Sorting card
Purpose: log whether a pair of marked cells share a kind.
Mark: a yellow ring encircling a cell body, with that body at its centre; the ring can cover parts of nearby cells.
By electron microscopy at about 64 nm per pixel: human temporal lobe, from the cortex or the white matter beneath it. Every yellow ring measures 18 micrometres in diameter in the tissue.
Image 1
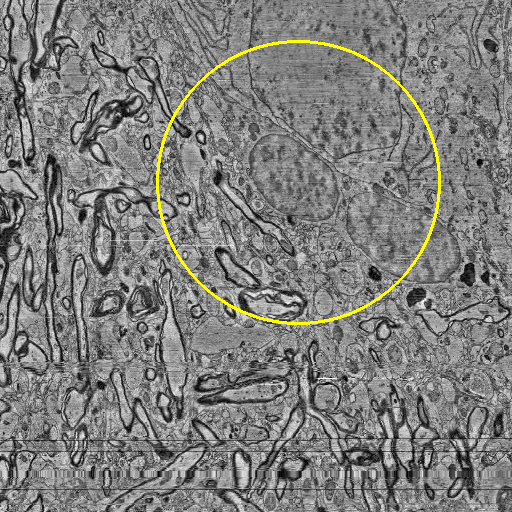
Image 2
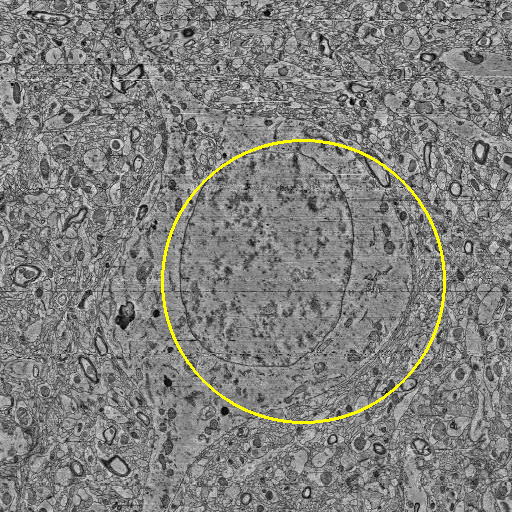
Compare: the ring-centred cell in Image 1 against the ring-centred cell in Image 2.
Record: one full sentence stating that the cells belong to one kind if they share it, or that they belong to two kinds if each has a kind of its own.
Across Images 1 and 2, the two ring-centred cells belong to two kinds.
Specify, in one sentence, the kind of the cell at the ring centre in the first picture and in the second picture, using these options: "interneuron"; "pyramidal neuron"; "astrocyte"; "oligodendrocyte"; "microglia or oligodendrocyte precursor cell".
So the first is an oligodendrocyte, the second a pyramidal neuron.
